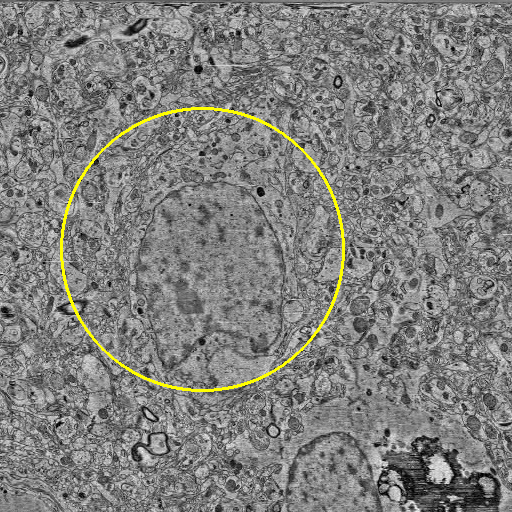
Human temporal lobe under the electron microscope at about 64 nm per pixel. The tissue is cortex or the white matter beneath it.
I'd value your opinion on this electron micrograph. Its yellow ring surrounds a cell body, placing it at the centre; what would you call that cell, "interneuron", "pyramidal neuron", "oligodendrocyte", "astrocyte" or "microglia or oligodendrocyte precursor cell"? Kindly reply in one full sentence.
It is an interneuron that sits centred within the yellow ring in this micrograph.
